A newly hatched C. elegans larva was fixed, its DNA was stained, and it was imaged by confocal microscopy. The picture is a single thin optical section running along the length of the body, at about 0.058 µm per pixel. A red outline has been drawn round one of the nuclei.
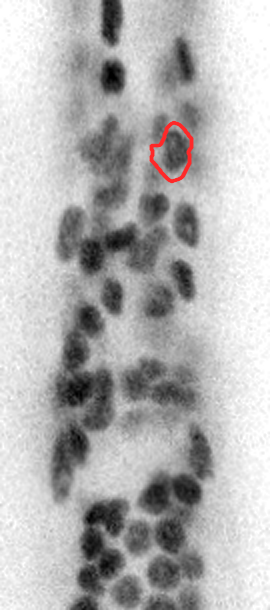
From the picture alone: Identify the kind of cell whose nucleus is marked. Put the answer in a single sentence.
This nucleus is from a body wall muscle cell.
